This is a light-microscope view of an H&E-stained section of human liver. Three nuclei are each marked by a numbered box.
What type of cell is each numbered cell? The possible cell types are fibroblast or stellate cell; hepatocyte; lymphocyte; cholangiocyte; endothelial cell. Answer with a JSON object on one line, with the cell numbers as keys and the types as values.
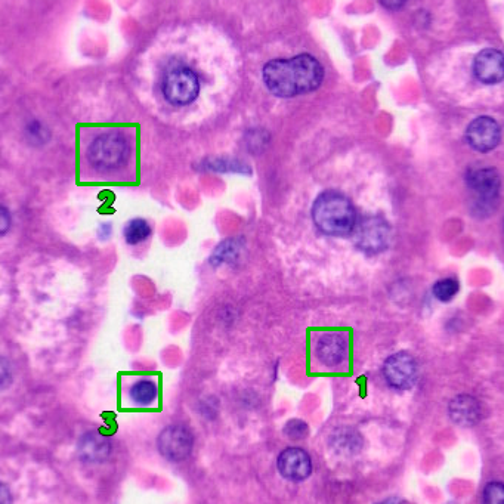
{"1": "hepatocyte", "2": "hepatocyte", "3": "lymphocyte"}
